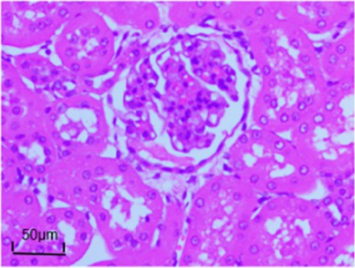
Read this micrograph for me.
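This is renal cortex with a single glomerulus in the centre, a rounded capillary tuft with many nuclei surrounded by a thin clear Bowman's space and capsule. Around it lie closely packed tubules cut in cross-section, lined by cuboidal cells with pink cytoplasm and round nuclei. No dense clusters of small dark nuclei are seen between the tubules.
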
